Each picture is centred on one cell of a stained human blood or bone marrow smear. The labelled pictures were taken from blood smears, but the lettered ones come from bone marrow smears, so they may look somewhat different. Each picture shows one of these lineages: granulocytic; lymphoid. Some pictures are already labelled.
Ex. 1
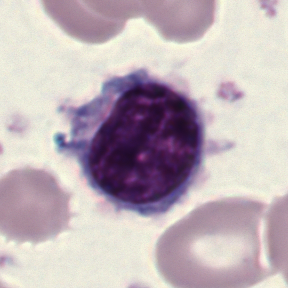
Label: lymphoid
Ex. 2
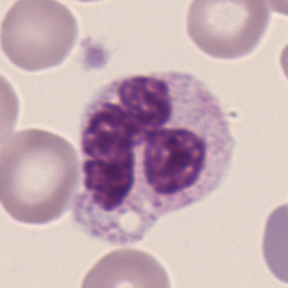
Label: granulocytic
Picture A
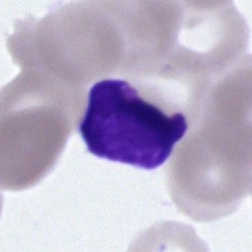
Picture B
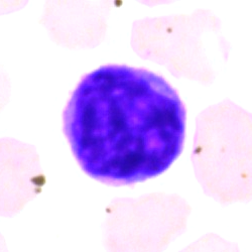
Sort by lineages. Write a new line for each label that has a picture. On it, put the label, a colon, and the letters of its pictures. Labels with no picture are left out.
lymphoid: A, B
